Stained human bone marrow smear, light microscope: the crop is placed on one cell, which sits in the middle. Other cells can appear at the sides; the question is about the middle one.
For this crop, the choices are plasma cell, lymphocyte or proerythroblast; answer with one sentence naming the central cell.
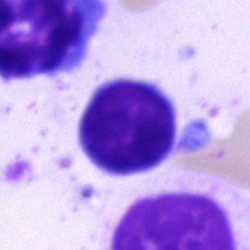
The middle of this crop is occupied by a lymphocyte.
